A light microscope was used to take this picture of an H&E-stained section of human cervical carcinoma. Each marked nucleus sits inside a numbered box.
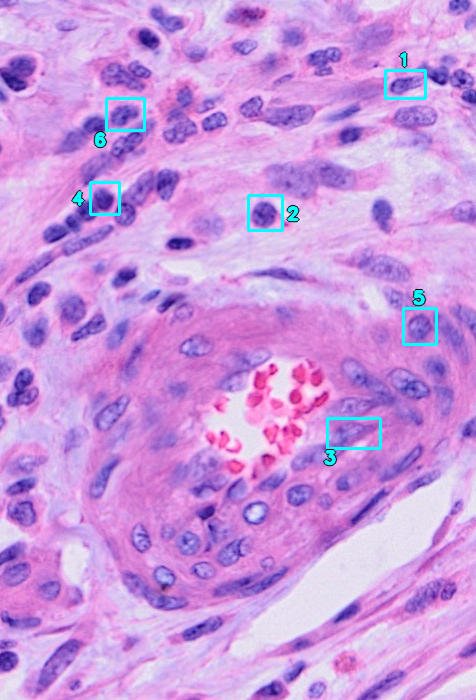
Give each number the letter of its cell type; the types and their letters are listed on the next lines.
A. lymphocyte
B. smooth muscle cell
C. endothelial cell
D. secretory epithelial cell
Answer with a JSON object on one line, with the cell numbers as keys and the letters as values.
{"1": "A", "2": "A", "3": "C", "4": "A", "5": "B", "6": "A"}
